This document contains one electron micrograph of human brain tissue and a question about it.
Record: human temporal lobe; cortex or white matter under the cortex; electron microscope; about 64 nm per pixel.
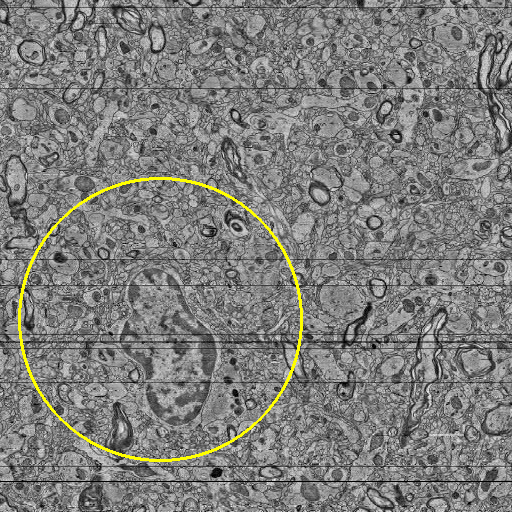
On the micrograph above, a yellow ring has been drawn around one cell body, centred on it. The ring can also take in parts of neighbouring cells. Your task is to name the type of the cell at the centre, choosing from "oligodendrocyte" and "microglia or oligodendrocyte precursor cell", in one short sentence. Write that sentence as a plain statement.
Here the ring is centred on a microglial cell or oligodendrocyte precursor cell.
